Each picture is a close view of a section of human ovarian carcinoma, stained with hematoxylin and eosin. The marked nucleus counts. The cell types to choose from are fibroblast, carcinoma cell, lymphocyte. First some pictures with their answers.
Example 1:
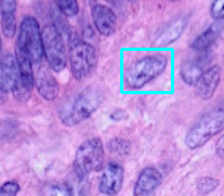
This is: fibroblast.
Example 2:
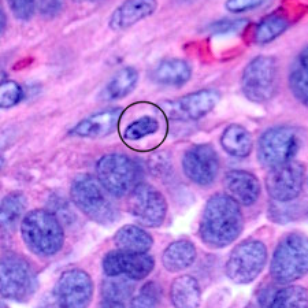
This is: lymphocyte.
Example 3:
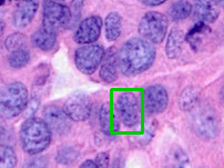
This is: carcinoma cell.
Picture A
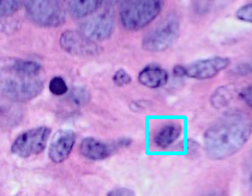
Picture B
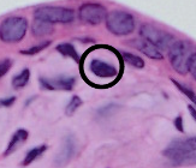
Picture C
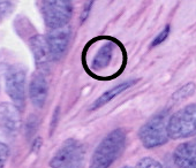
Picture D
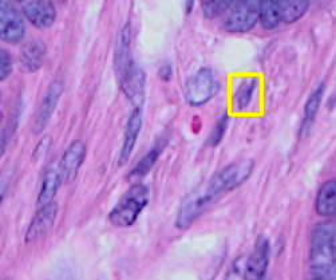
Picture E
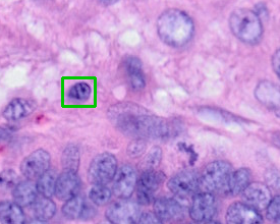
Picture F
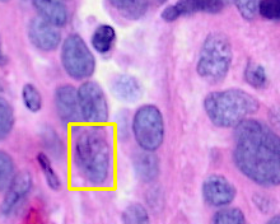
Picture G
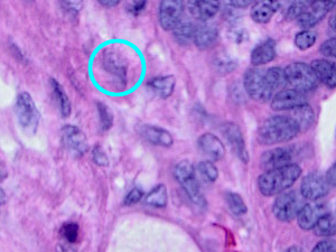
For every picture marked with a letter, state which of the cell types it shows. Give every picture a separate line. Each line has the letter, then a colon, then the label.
A: lymphocyte.
B: lymphocyte.
C: fibroblast.
D: fibroblast.
E: lymphocyte.
F: carcinoma cell.
G: fibroblast.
